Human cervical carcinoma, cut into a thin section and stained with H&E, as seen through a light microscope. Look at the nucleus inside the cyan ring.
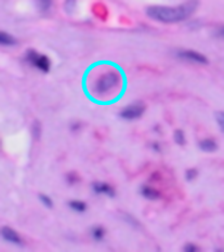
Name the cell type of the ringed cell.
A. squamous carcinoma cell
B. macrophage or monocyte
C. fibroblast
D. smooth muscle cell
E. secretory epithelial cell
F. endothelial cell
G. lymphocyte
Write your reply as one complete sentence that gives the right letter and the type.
It is correct to say that the ringed cell is a smooth muscle cell, as option D does.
